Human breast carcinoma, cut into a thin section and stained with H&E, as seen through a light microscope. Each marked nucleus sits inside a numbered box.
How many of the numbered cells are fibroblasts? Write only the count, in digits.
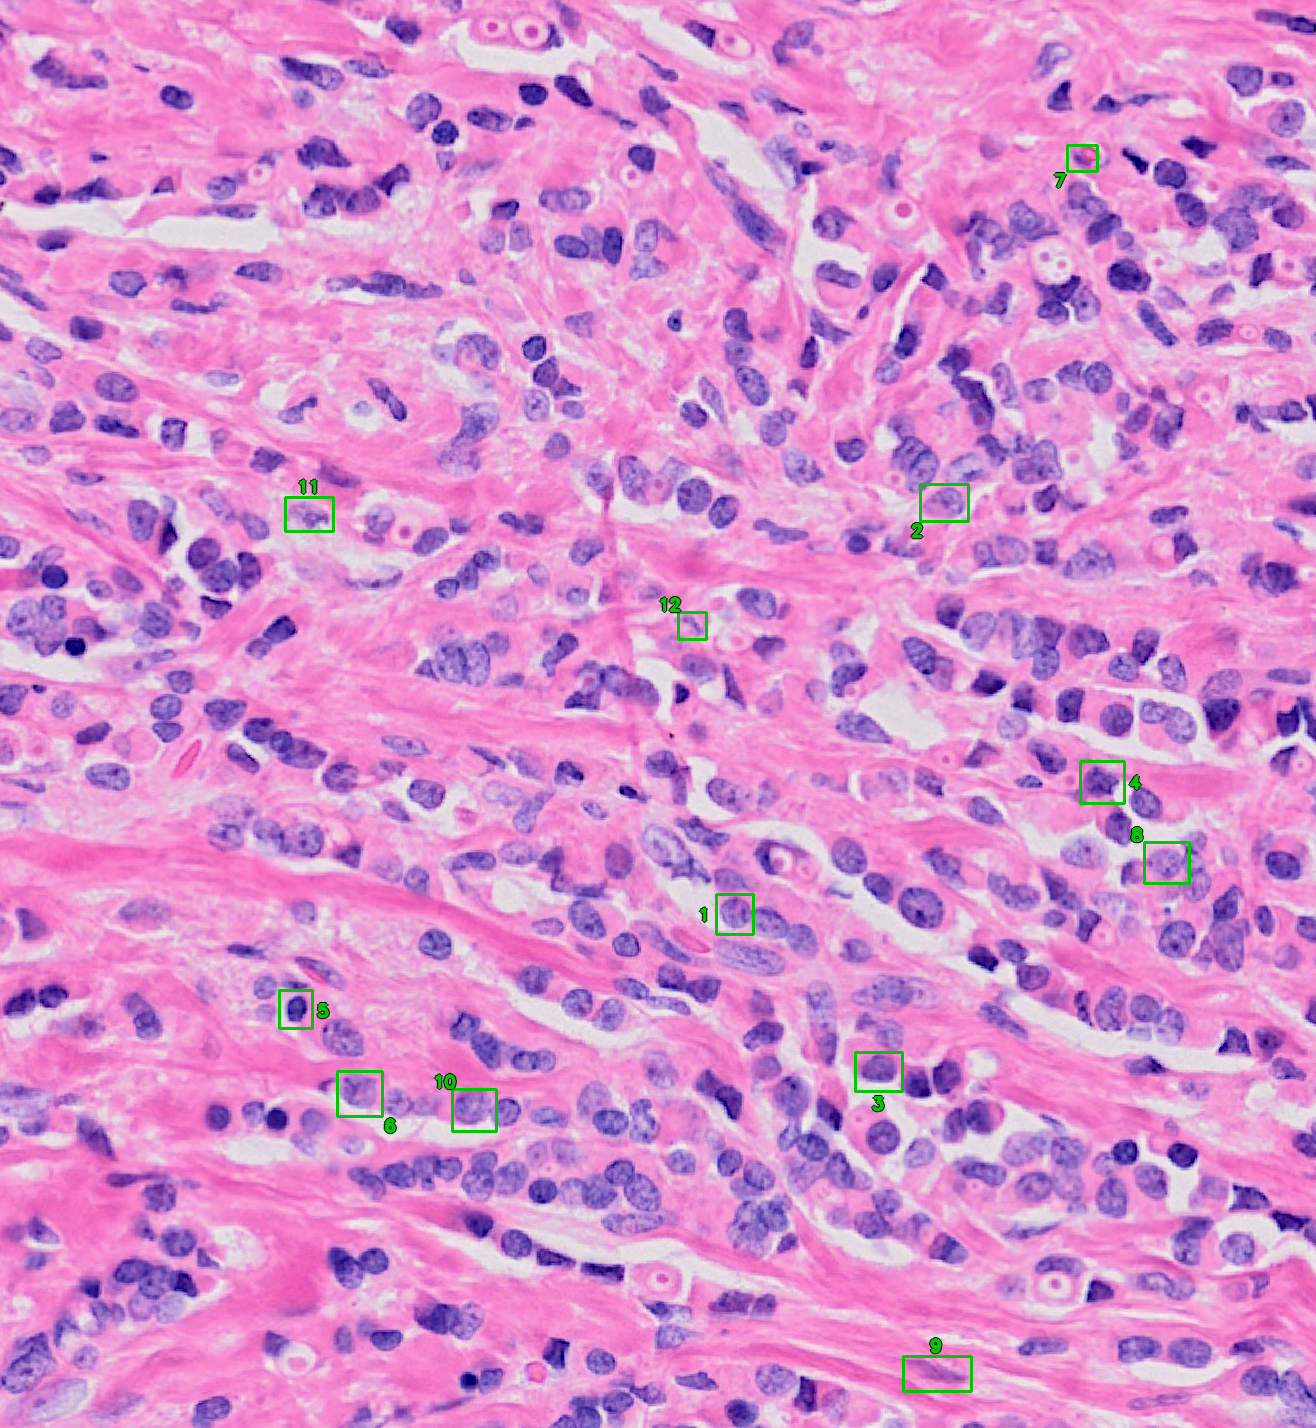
3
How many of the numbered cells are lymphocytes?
1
